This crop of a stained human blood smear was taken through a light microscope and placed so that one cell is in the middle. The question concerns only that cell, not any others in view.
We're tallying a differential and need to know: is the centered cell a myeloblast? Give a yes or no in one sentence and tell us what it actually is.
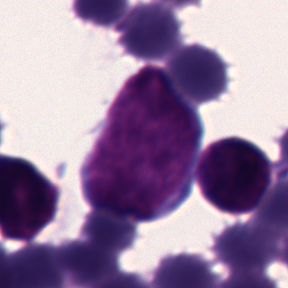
Yes, shown in the middle of the crop is a myeloblast.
